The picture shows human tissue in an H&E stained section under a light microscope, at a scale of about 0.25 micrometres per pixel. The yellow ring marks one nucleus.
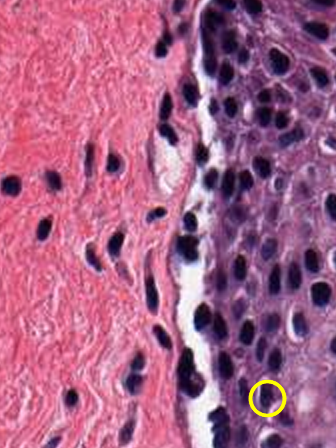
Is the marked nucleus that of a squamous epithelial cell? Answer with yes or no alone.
yes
